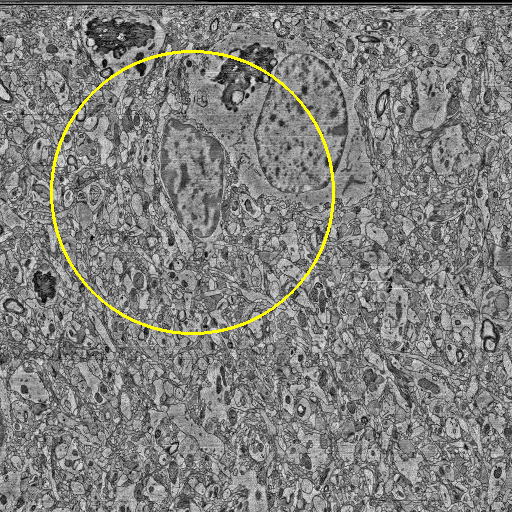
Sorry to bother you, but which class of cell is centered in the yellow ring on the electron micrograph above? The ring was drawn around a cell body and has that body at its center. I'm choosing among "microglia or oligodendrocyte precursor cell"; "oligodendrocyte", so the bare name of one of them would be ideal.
microglia or oligodendrocyte precursor cell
